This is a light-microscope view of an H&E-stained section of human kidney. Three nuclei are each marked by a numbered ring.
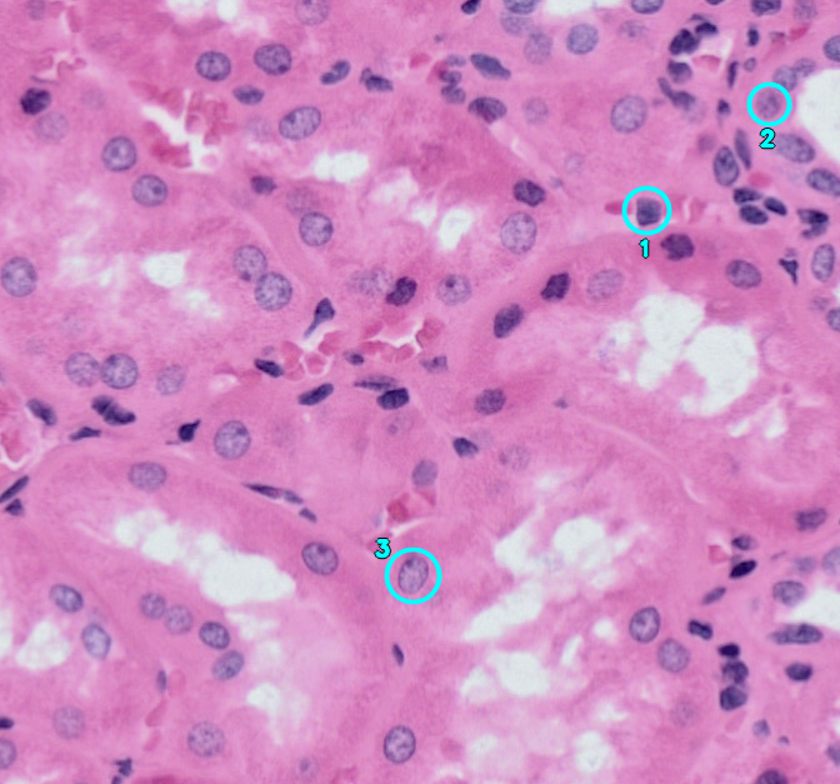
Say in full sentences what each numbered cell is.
Cell 1 is an endothelial cell. Cell 2 is a collecting duct cell. Cell 3 is a proximal tubule cell.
